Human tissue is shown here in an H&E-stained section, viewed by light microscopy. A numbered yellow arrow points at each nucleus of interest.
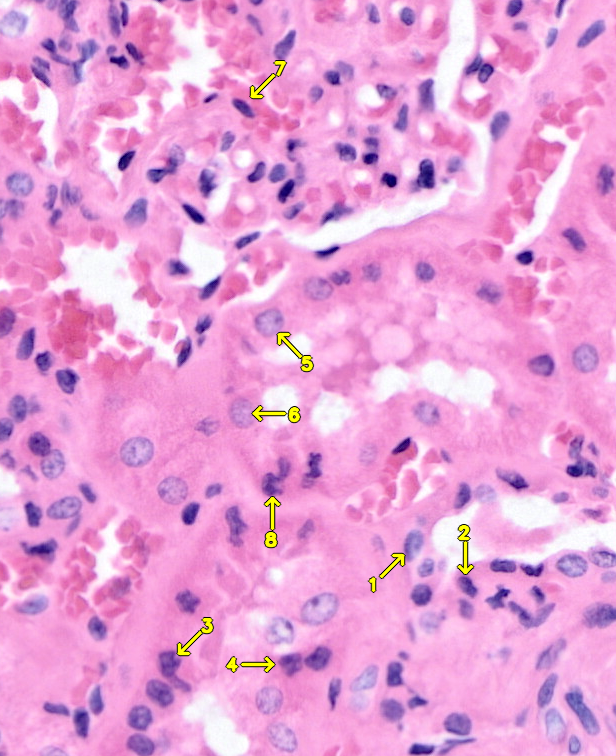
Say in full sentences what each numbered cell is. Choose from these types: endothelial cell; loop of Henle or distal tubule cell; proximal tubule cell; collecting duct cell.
Cells 1 and 2 are collecting duct cells. Cells 3, 4, 5, 6 and 8 are proximal tubule cells. Cell 7 is an endothelial cell.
